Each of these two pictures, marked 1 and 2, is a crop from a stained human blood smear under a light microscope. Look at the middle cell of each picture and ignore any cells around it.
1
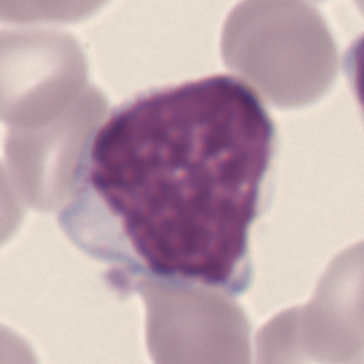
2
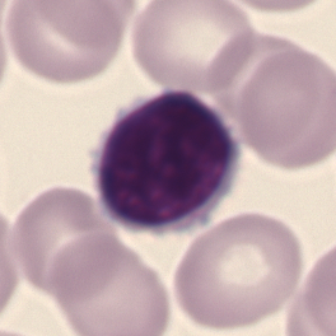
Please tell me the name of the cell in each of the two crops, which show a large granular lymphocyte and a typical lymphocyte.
1: large granular lymphocyte
2: typical lymphocyte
